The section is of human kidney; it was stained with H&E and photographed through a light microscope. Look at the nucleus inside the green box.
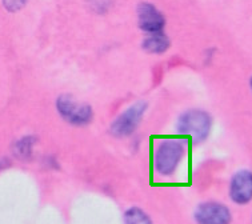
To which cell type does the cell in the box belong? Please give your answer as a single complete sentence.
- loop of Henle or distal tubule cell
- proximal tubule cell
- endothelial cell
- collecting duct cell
In terms of identity, the cell in the box is a loop of Henle or distal tubule cell.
